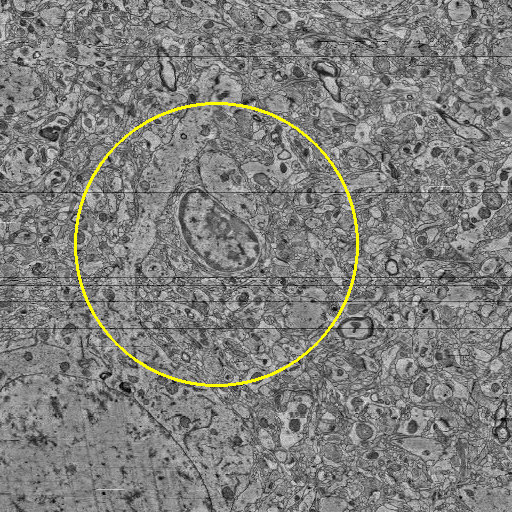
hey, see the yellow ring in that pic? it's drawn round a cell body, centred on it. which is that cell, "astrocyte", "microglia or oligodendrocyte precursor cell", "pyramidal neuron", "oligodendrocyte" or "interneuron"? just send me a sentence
The cell in the ring is a microglial cell or oligodendrocyte precursor cell.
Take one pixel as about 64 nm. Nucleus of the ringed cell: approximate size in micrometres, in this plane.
In this plane the nucleus is clearly longer than it is wide: roughly 6 by 4 micrometres.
